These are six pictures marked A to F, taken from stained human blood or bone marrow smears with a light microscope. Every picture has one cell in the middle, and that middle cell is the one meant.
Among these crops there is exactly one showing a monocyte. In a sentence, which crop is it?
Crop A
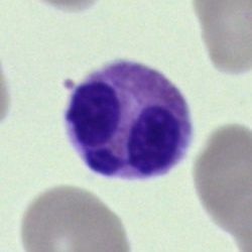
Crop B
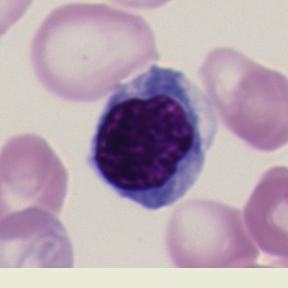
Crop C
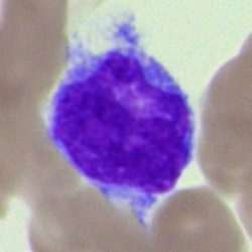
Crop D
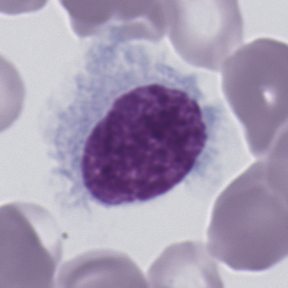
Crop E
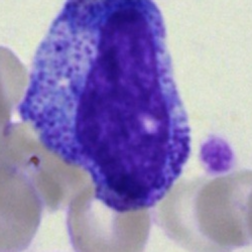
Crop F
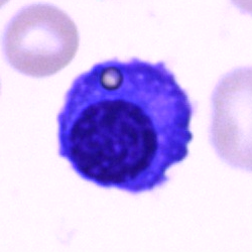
Crop C is the crop whose central cell is a monocyte.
